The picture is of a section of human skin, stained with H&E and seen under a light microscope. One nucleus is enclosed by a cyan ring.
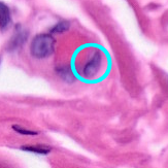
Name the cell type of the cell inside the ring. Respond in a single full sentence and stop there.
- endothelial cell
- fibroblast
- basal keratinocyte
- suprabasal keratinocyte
The category to which the cell inside the ring belongs is that of an endothelial cell.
